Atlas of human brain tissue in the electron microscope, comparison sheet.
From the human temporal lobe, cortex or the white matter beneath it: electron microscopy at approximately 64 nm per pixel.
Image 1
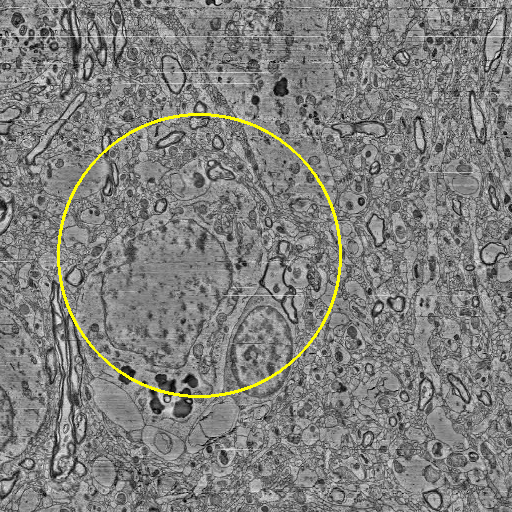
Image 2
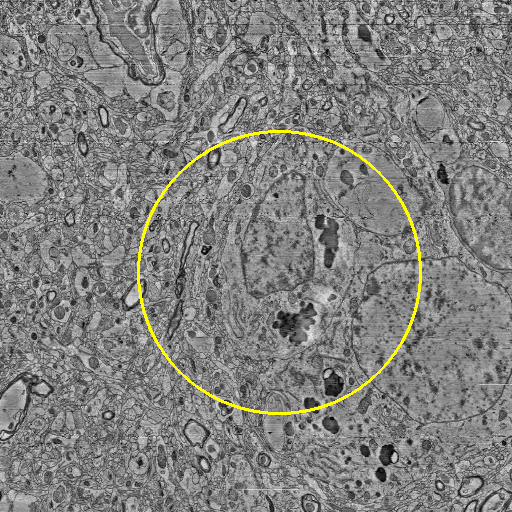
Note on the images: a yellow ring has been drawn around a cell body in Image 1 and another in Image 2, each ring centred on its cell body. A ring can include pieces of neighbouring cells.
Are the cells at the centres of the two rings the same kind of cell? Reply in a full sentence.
Yes, both cells are of the same kind.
